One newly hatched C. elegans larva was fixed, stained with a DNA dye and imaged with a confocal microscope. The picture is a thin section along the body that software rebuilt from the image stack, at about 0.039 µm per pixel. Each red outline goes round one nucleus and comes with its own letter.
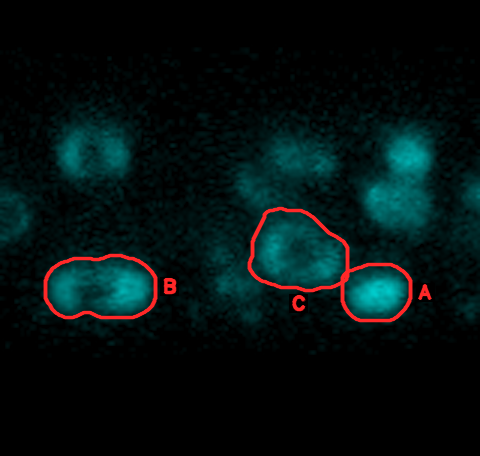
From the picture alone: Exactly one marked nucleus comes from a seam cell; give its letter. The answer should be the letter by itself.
B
